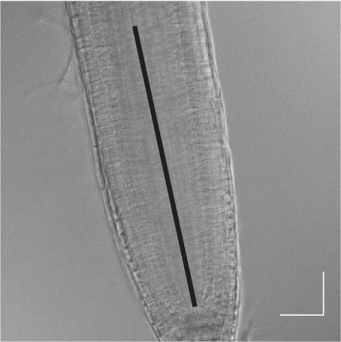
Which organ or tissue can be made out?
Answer: Root apical meristem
